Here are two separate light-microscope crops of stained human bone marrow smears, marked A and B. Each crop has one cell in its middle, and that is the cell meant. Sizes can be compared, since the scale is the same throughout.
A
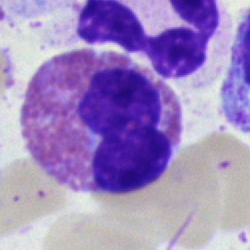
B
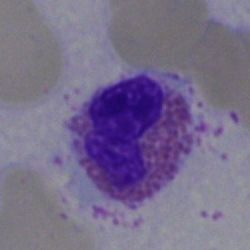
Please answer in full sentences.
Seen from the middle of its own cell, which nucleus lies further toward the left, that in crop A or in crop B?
In crop B the nucleus is shifted more toward the left.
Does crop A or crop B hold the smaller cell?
It is the cell in crop B; the cell in crop A has about 1.5 times its area.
